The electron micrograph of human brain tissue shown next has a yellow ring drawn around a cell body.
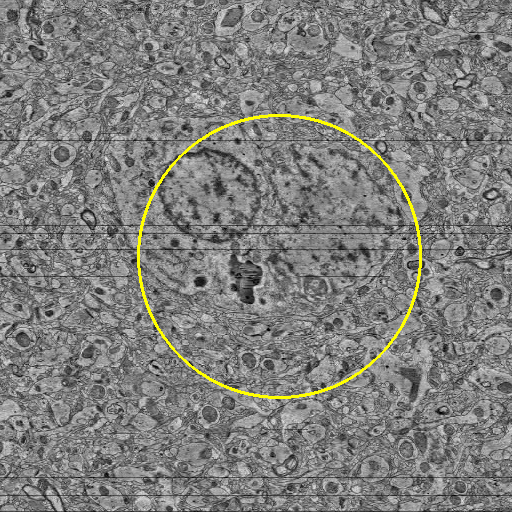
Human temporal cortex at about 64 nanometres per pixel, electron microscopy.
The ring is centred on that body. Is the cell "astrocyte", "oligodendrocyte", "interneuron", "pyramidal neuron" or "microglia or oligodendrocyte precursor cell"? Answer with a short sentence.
The cell in question is an interneuron.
